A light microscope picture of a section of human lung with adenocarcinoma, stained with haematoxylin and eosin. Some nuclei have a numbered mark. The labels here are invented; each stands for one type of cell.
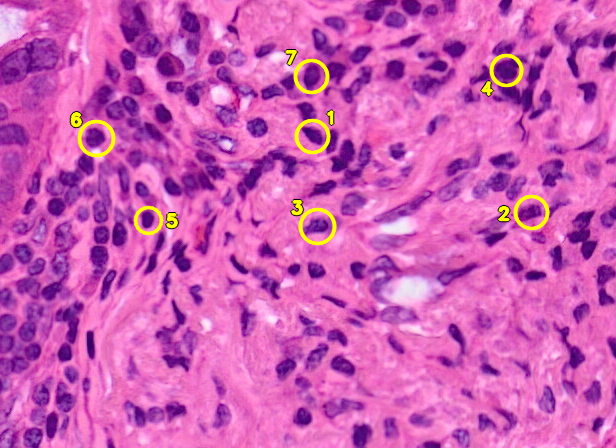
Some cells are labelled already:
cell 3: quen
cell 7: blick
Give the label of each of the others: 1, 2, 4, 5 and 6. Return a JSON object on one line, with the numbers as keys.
{"1": "quen", "2": "blick", "4": "blick", "5": "quen", "6": "quen"}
